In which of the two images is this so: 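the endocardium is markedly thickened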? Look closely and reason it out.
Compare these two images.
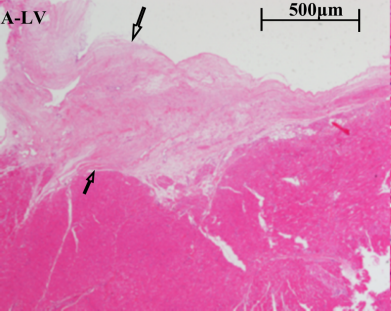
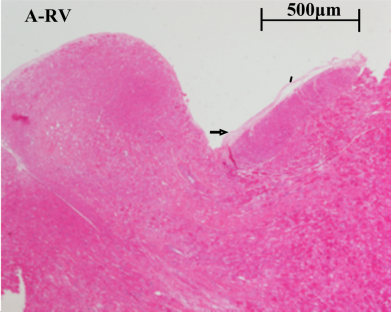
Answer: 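Second image: the surface lining over the myocardium is a thin layer. First image: a broad pale fibrous layer covers the myocardial surface. On this evidence: the first image.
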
